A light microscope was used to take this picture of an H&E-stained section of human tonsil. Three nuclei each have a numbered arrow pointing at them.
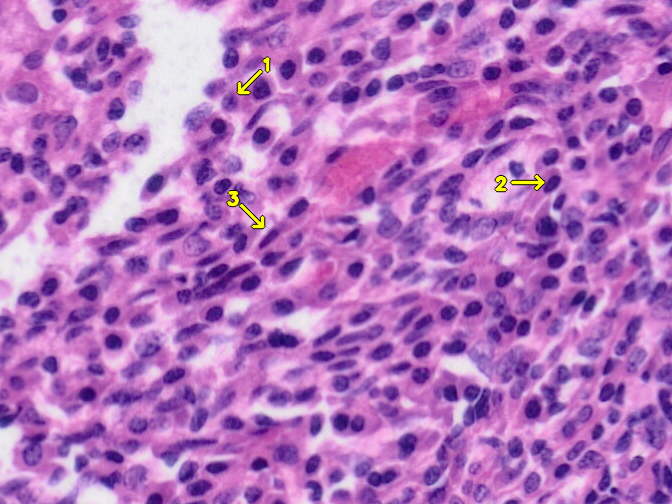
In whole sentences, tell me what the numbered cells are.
Cell 1 is a plasma cell, cell 2 is a plasma cell and cell 3 is a squamous epithelial cell.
